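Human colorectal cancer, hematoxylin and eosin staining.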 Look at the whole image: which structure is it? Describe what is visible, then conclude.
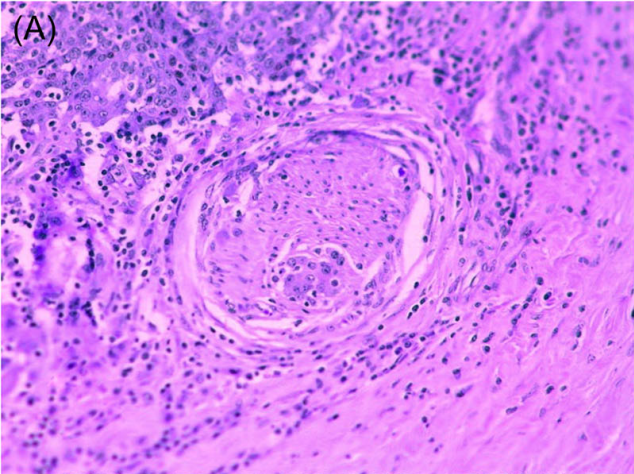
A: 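A small group of epithelial cells lies inside a round bundle of pale pink fibres. The round bundle is wrapped by concentric layers of fibrous tissue. The answer: clusters.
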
